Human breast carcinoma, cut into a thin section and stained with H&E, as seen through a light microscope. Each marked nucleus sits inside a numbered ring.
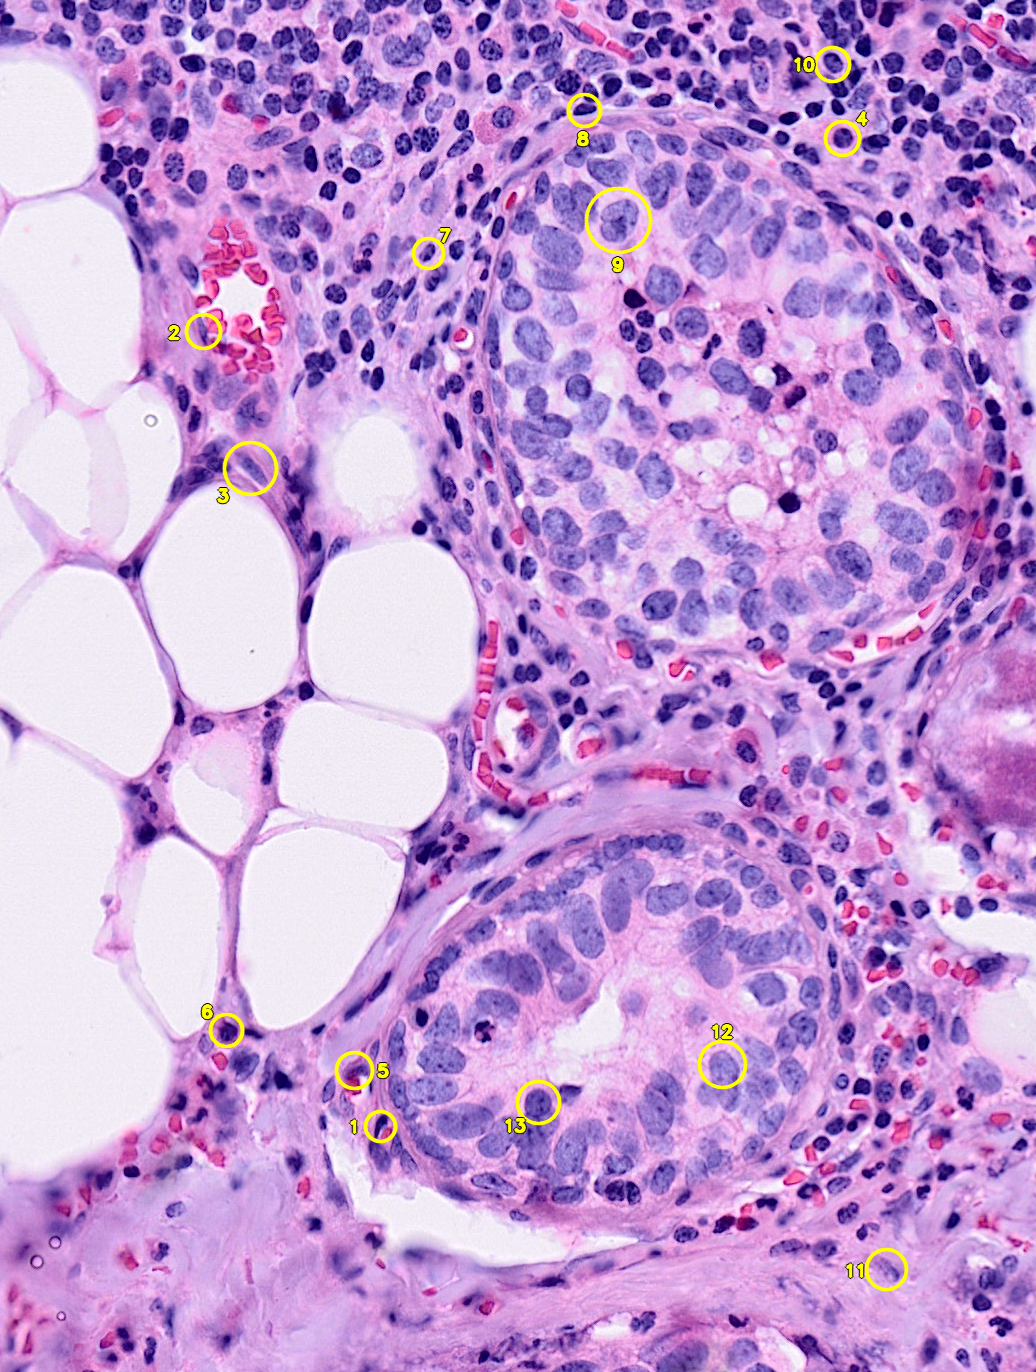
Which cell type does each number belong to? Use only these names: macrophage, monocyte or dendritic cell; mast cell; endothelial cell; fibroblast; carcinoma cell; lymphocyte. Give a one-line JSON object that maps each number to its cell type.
{"1": "endothelial cell", "2": "endothelial cell", "3": "endothelial cell", "4": "mast cell", "5": "endothelial cell", "6": "mast cell", "7": "lymphocyte", "8": "lymphocyte", "9": "carcinoma cell", "10": "lymphocyte", "11": "fibroblast", "12": "carcinoma cell", "13": "carcinoma cell"}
